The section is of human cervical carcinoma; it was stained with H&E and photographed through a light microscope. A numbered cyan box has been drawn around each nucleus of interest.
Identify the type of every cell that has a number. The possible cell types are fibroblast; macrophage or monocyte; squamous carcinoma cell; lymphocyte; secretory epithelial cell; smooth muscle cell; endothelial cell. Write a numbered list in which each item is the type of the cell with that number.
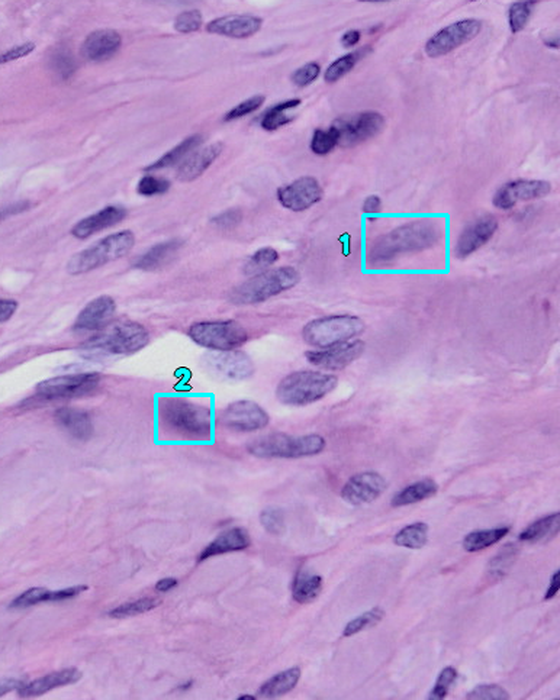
1. fibroblast
2. endothelial cell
